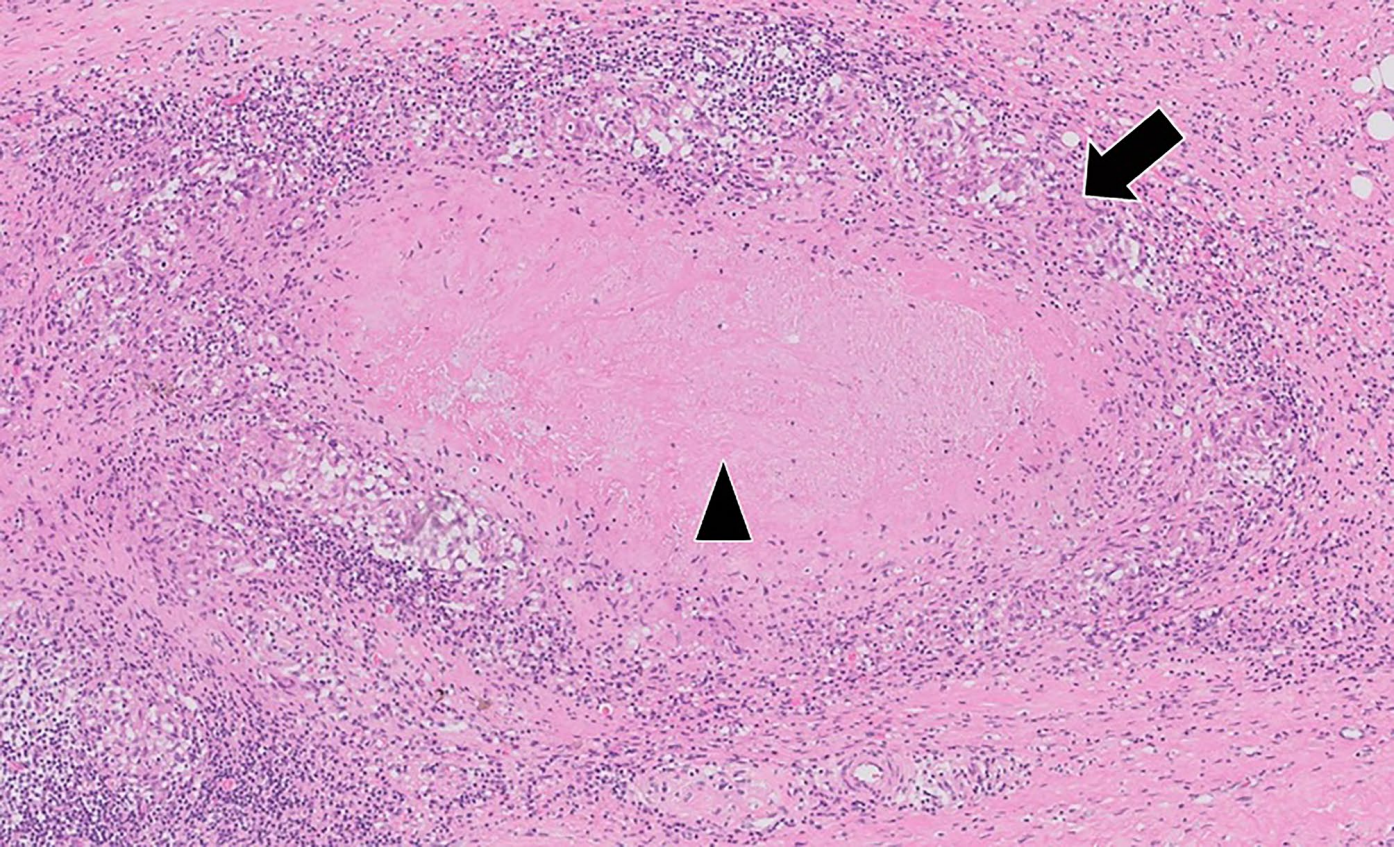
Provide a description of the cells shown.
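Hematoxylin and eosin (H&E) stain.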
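This is a granuloma, an example of granulomatous inflammation, with necrosis at its centre. The middle of the oval nodule is a broad, pale pink, amorphous zone with hardly any nuclei left. Some clusters of pale, bubbly, vacuolated cells sit in this rim. Further out lies a dense band of small, round, dark nuclei, consistent with lymphocytes. The whole nodule is set in pink fibrous tissue, and a few fat vacuoles are seen at the upper right.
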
